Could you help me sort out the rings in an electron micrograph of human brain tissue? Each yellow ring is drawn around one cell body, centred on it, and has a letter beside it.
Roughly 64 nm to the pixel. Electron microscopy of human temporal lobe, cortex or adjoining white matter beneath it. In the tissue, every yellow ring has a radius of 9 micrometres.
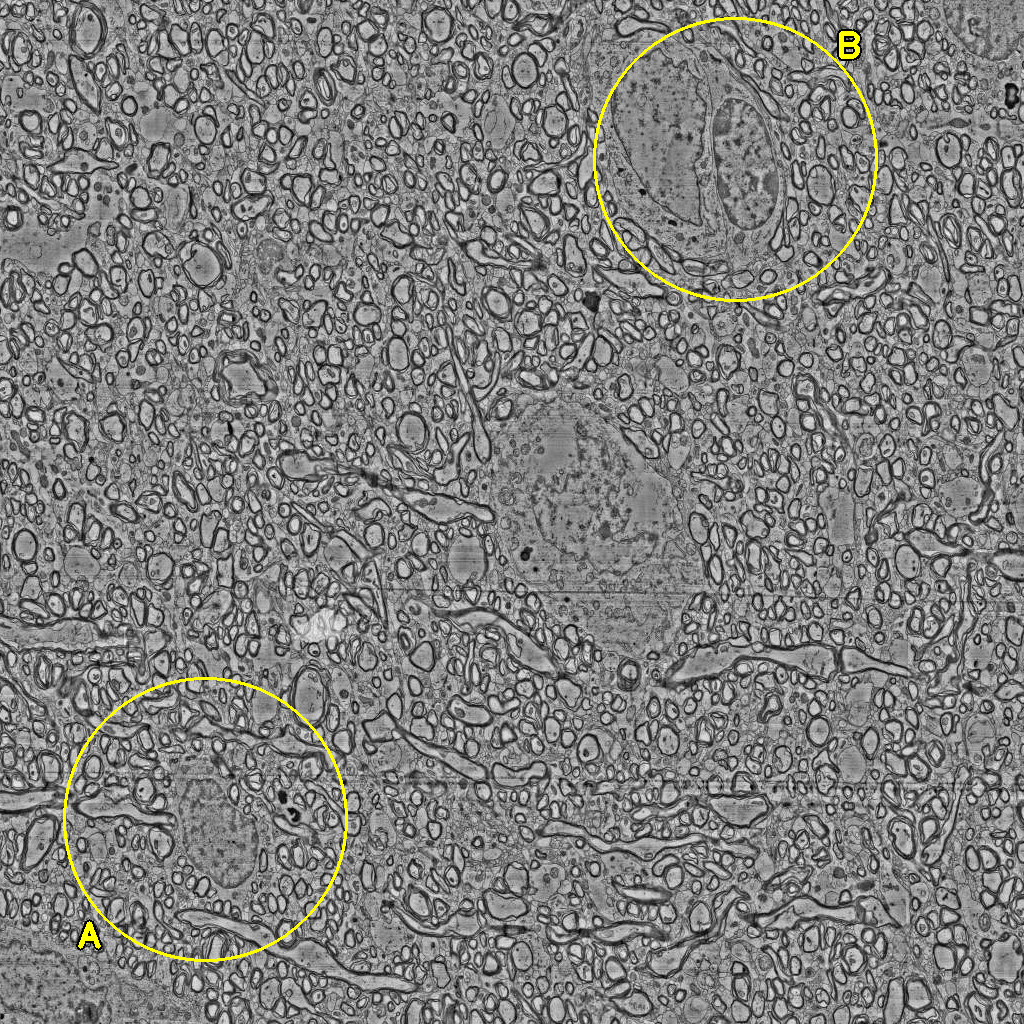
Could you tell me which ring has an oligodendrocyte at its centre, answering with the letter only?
A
